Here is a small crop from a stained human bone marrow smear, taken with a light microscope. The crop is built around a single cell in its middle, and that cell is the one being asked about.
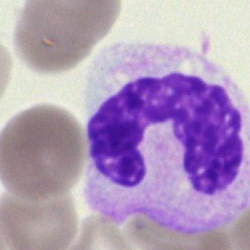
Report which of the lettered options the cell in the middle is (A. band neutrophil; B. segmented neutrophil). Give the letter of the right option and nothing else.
A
